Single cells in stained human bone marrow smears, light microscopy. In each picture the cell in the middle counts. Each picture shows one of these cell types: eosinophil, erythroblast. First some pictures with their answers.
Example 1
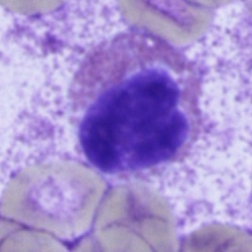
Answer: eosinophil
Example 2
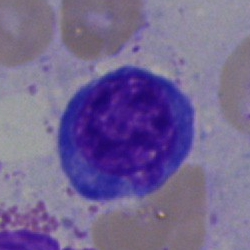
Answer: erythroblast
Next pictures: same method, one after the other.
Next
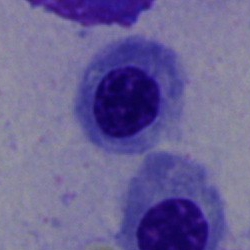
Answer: erythroblast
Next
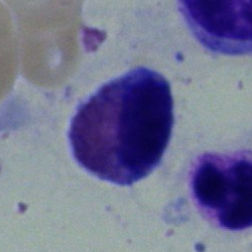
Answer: eosinophil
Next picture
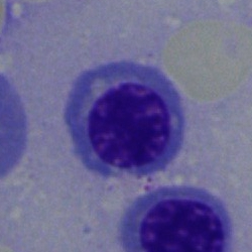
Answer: erythroblast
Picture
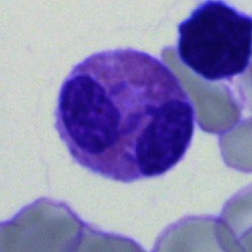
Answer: eosinophil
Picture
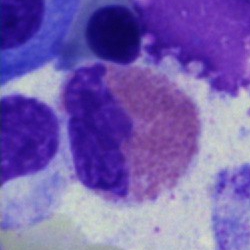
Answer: eosinophil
